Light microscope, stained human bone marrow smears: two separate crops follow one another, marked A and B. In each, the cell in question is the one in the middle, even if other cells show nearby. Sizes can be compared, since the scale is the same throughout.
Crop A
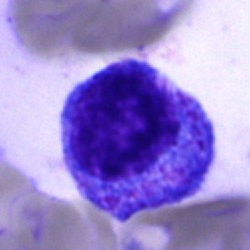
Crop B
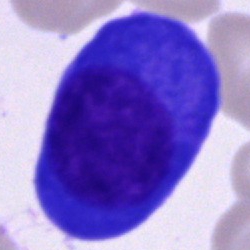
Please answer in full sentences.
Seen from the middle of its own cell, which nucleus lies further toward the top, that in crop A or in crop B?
The nucleus in crop A lies further toward the top of its cell.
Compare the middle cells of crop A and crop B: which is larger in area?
The cell in crop B is larger, with about 1.5 times the area of the one in crop A.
